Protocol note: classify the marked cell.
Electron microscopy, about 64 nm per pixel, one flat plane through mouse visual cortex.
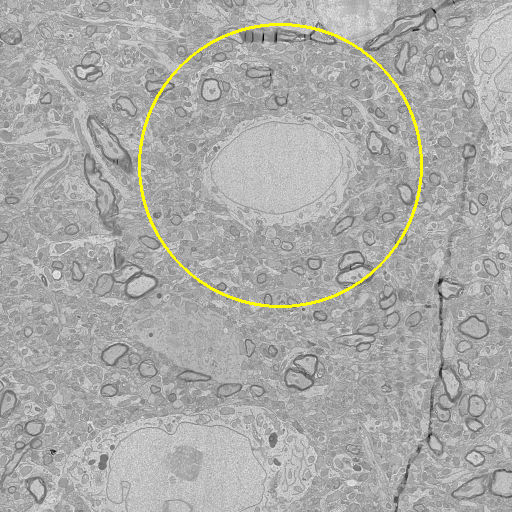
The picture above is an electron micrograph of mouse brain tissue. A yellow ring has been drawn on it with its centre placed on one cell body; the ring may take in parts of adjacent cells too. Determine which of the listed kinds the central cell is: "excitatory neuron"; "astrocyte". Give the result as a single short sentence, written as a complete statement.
The central cell is an excitatory neuron.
